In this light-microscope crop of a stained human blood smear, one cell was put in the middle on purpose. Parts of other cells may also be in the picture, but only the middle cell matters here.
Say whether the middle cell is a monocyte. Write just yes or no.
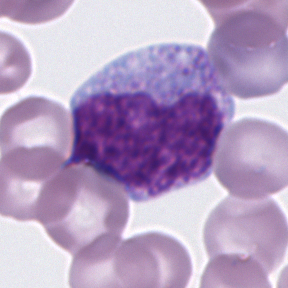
no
